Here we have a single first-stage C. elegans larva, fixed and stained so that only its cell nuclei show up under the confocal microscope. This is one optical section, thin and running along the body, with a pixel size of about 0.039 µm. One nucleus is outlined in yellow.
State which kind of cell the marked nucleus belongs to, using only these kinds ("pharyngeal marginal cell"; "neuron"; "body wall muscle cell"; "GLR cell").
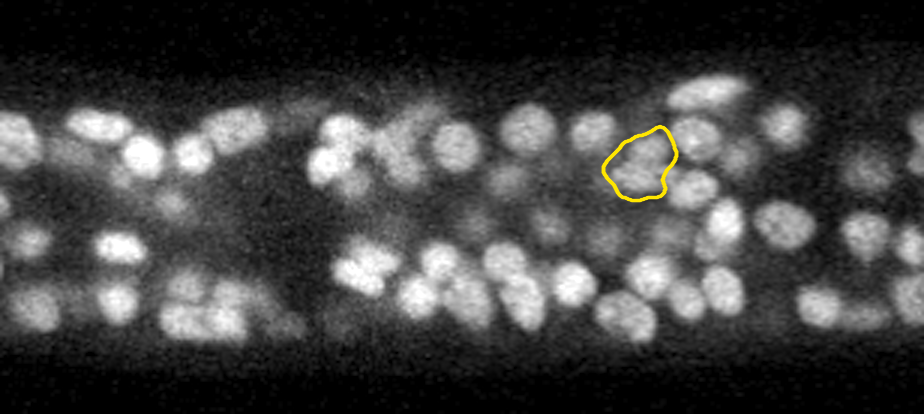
pharyngeal marginal cell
